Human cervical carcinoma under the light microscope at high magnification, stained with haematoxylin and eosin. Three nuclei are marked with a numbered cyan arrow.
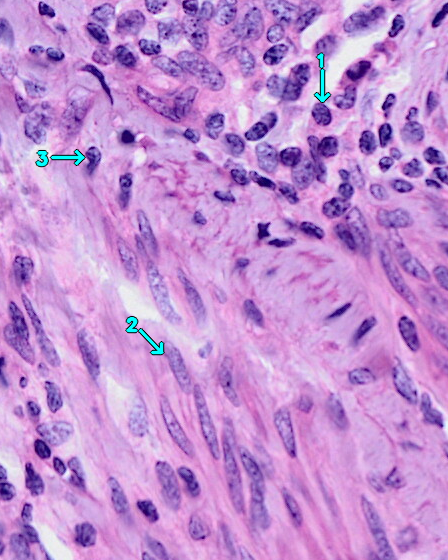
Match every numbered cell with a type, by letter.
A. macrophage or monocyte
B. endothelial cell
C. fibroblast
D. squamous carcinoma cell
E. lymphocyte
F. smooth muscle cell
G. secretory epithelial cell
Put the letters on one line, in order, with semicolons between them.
E; F; E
